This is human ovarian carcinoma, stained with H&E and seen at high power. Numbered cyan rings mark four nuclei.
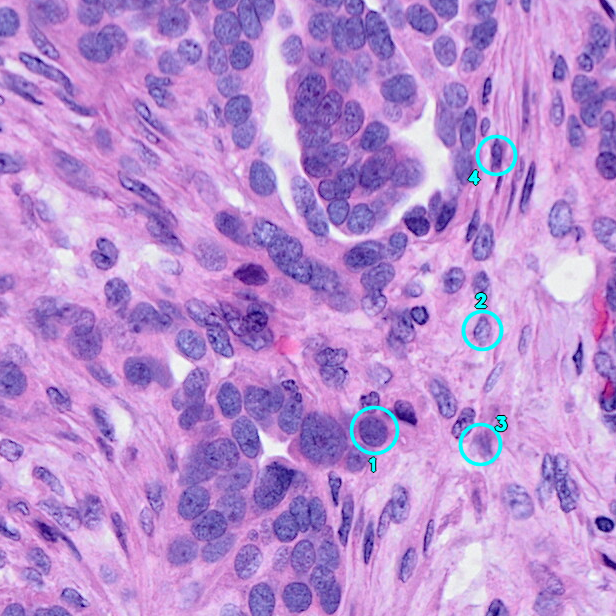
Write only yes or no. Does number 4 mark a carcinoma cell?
no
